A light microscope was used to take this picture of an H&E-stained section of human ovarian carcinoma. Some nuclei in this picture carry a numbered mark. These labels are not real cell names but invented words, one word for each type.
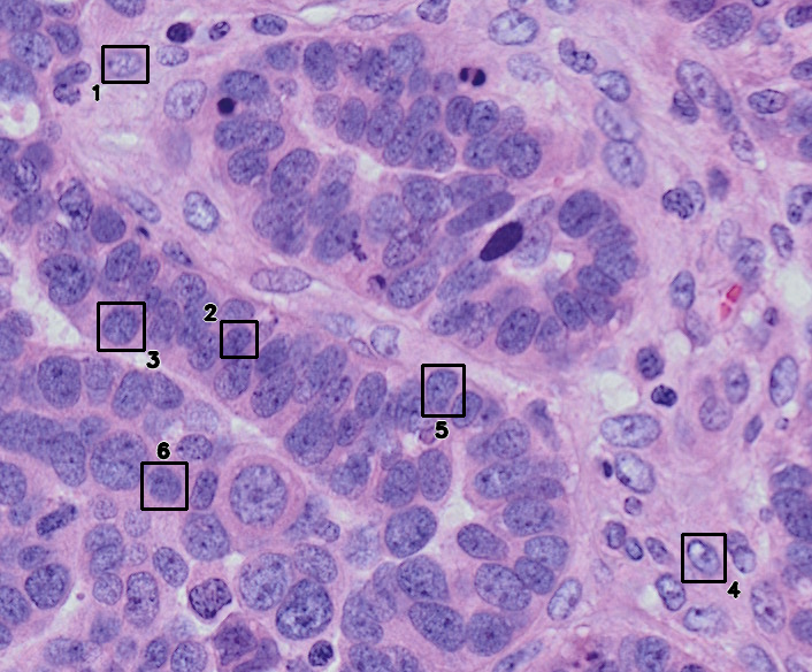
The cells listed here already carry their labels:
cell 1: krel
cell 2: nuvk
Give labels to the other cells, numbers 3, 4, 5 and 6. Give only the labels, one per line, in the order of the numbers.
nuvk
krel
nuvk
nuvk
